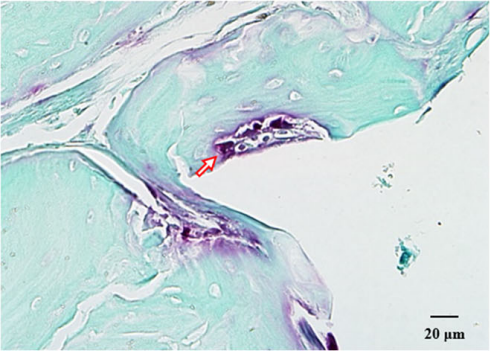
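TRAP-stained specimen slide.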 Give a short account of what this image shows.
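The bone matrix stains pale green and holds scattered small osteocyte lacunae, while the osteoclast stains deep purple and shows several rounded nuclei. Further purple staining lines the bone surface along a cleft to the lower left.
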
